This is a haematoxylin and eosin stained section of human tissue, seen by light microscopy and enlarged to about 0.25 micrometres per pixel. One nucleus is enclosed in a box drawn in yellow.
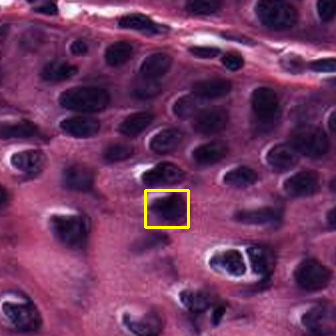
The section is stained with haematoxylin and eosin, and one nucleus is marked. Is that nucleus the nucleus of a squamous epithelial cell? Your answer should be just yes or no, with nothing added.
yes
